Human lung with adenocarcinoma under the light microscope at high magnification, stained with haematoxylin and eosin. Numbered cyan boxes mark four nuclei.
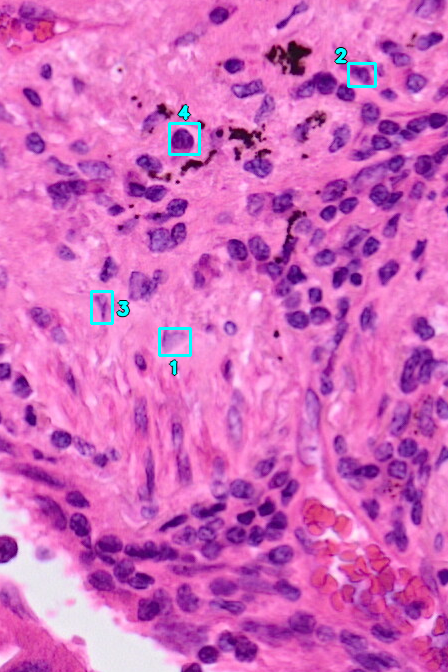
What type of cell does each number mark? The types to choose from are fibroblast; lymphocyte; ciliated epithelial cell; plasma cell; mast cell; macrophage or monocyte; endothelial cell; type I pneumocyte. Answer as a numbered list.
1. fibroblast
2. plasma cell
3. fibroblast
4. plasma cell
